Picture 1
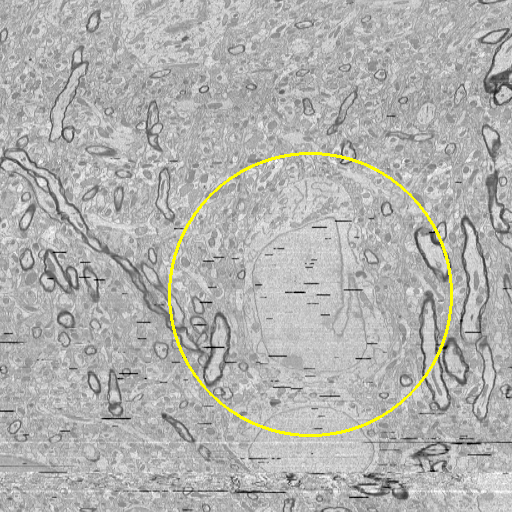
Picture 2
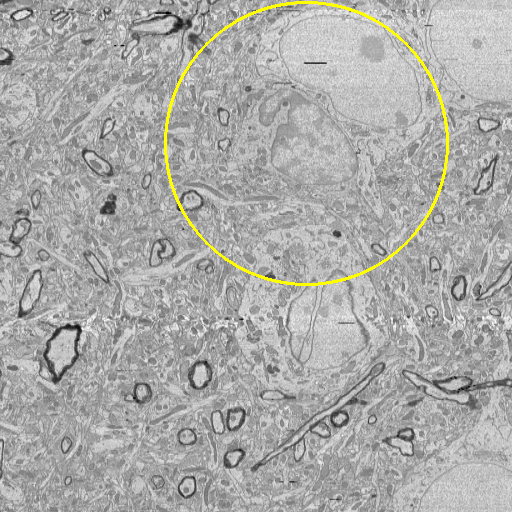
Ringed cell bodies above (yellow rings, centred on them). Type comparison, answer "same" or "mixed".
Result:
mixed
